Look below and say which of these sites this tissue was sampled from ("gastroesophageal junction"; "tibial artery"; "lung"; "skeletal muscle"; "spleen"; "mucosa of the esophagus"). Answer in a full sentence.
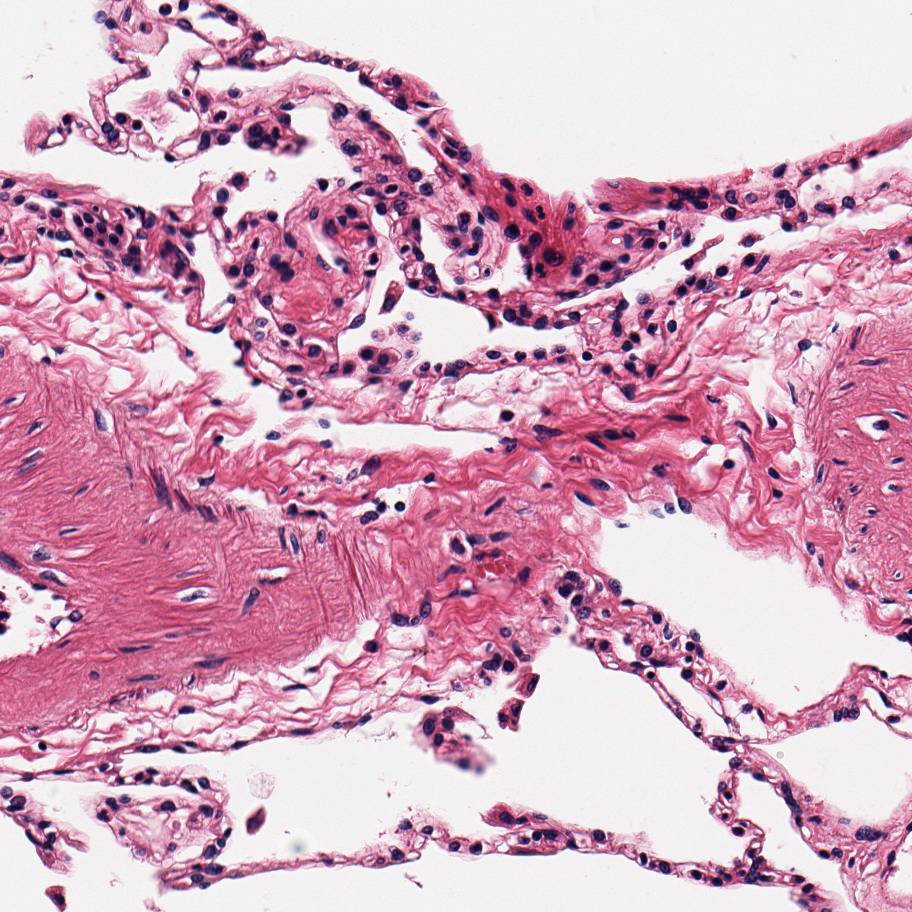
The site this tissue was sampled from is the lung.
